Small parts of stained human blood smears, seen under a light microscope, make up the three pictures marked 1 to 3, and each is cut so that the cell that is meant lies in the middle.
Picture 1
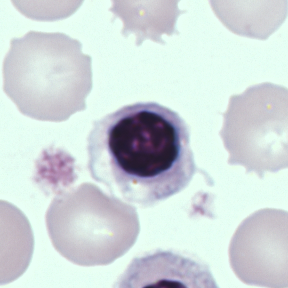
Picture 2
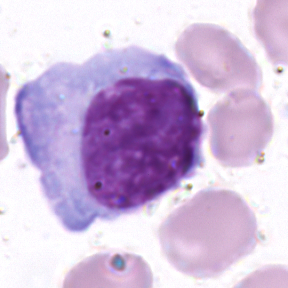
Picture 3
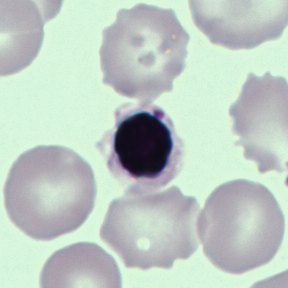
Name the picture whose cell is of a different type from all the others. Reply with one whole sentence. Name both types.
The others show normoblasts, but picture 2 shows a plasma cell.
